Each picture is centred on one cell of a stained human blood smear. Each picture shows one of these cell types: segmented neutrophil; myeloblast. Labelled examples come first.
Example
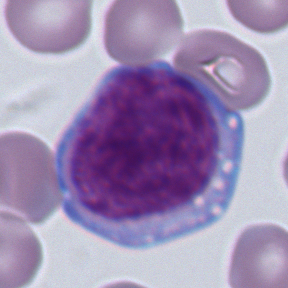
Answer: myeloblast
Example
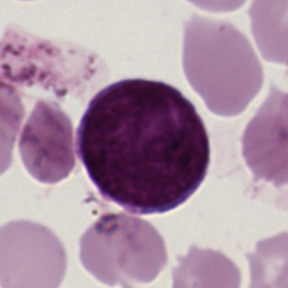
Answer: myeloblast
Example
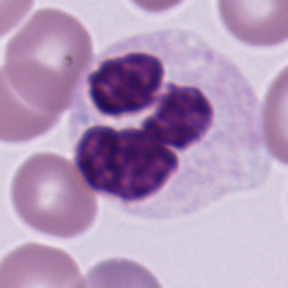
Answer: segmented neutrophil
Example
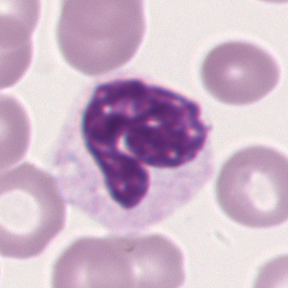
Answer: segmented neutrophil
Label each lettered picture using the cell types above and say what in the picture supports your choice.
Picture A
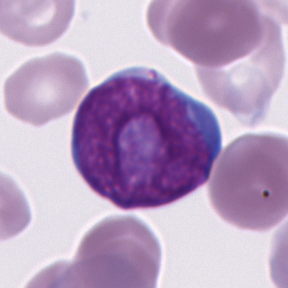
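Label: myeloblast. The cytoplasm forms only a thin rim that stains deep blue.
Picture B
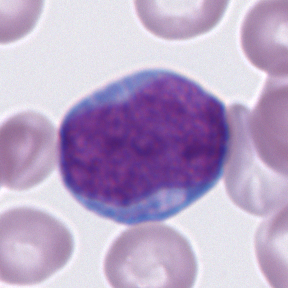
Label: myeloblast. The cytoplasm is blue.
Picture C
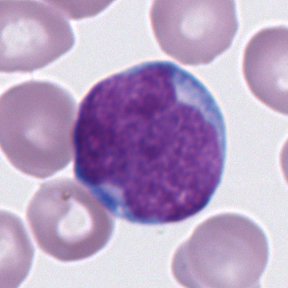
Label: myeloblast. The cytoplasm forms a thin rim around the nucleus.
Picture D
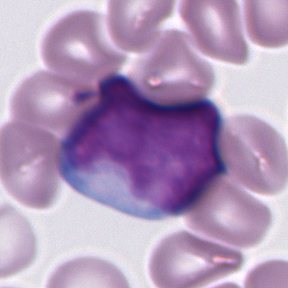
Label: myeloblast. The nucleus fills most of the cell.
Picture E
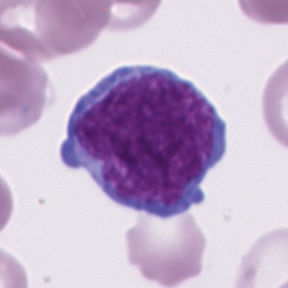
Label: myeloblast. The cytoplasm forms a narrow rim that stains blue.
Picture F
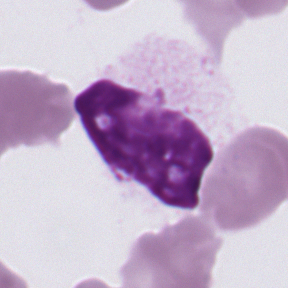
Label: segmented neutrophil. The cytoplasm between the granules is very pale and nearly colourless.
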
